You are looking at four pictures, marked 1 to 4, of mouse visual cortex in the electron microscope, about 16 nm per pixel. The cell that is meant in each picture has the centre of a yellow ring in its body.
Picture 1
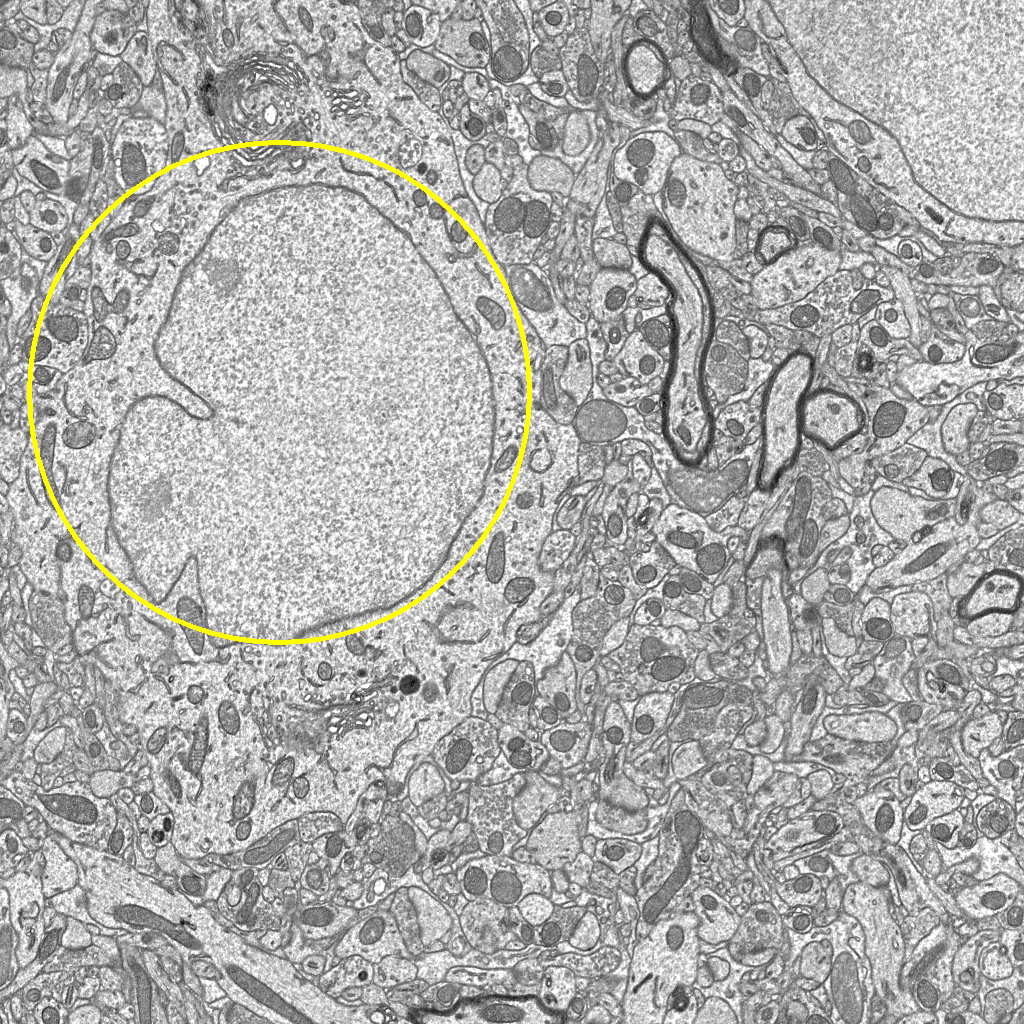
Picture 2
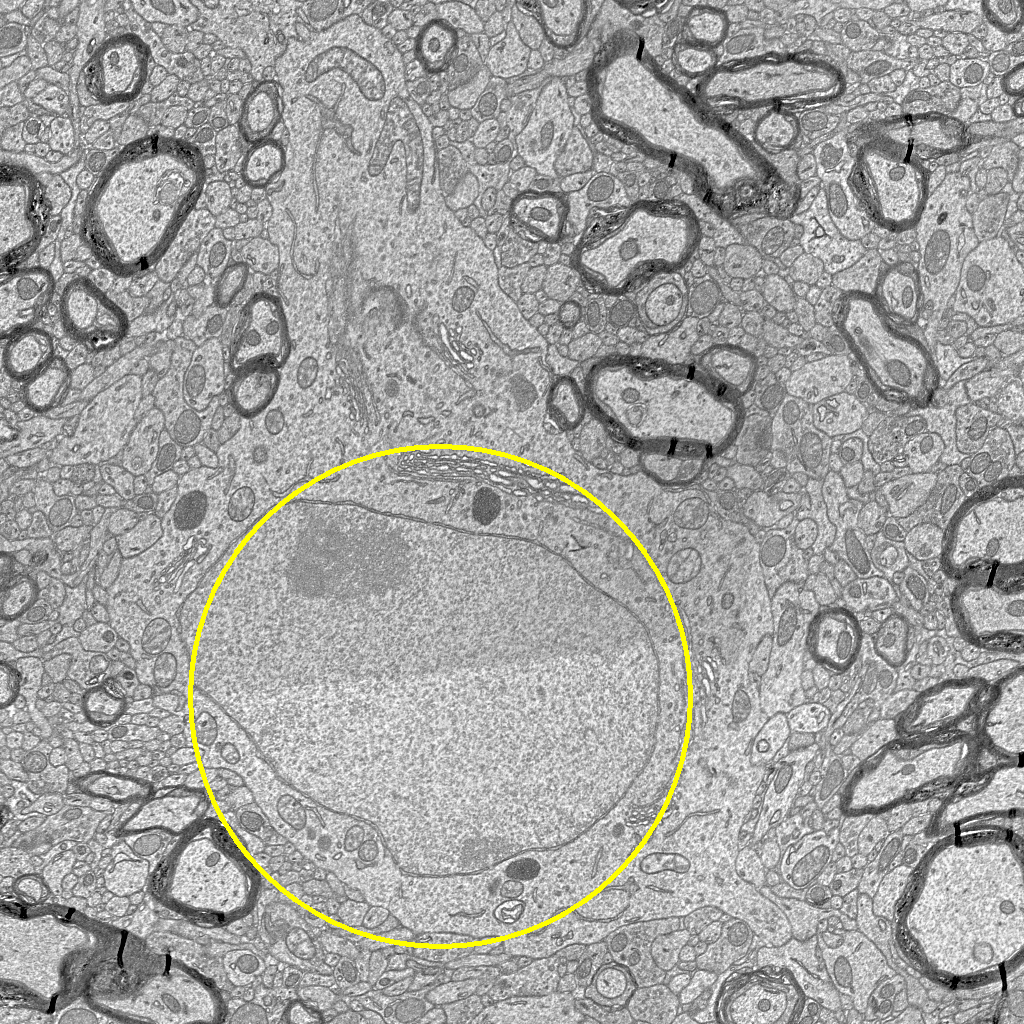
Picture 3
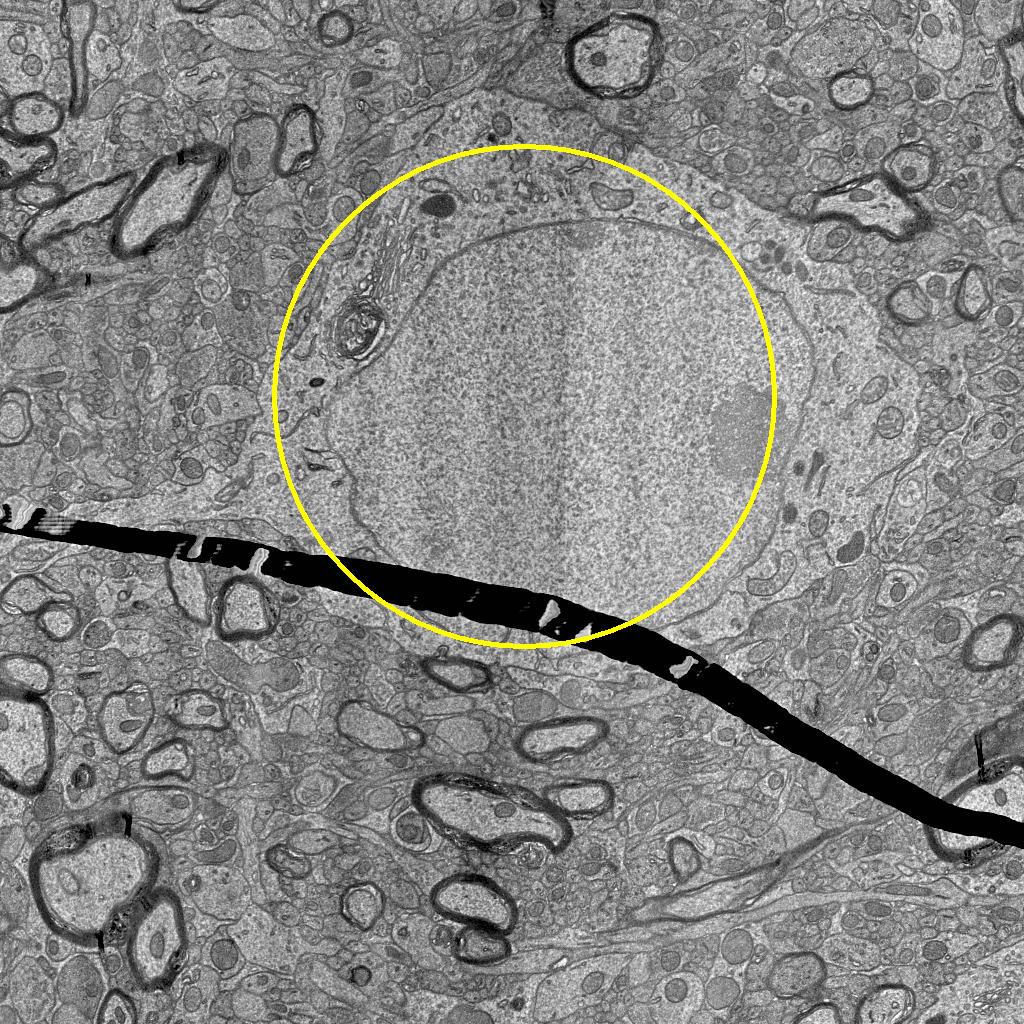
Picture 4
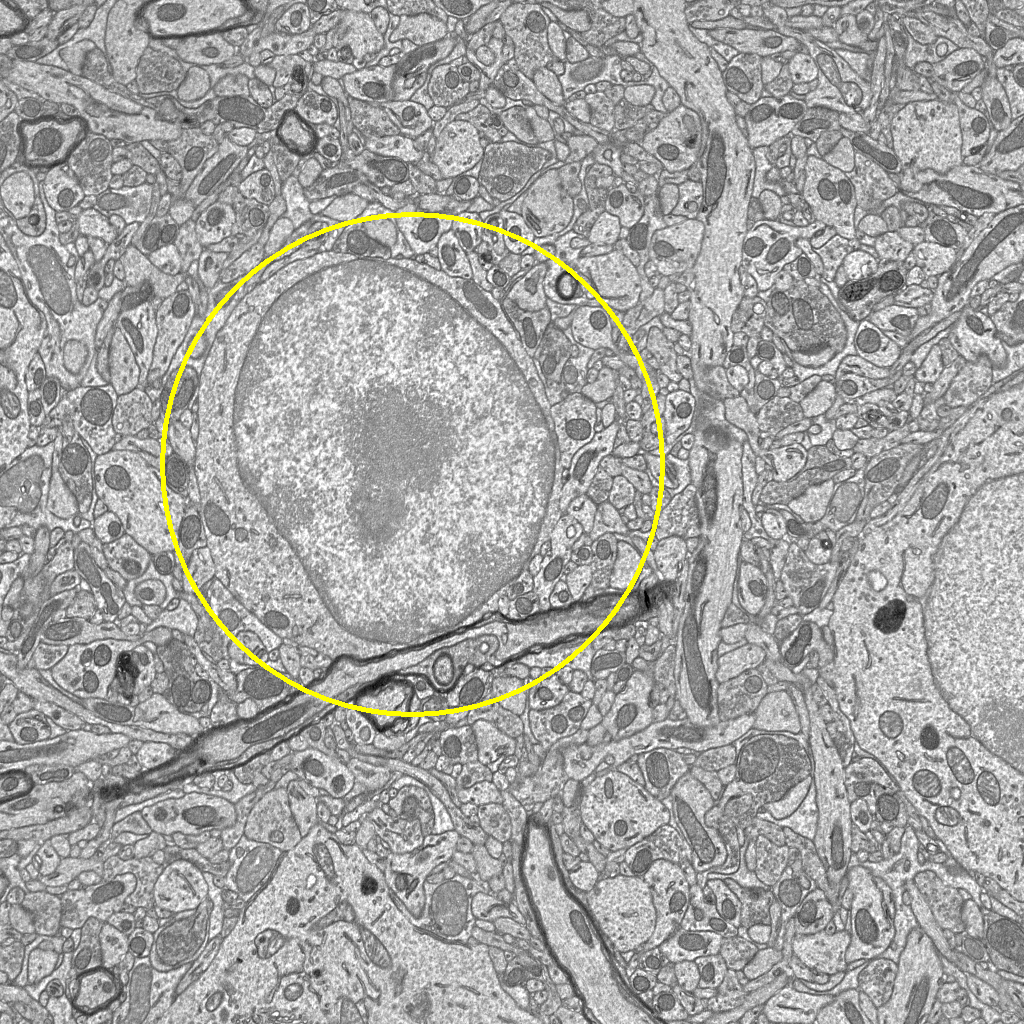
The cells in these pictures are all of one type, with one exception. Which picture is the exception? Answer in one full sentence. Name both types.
The others show excitatory neurons, but picture 4 shows an oligodendrocyte.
